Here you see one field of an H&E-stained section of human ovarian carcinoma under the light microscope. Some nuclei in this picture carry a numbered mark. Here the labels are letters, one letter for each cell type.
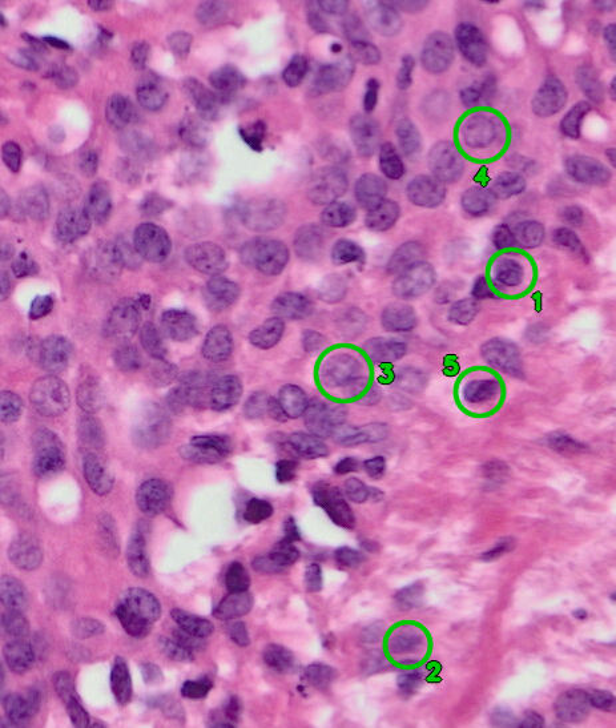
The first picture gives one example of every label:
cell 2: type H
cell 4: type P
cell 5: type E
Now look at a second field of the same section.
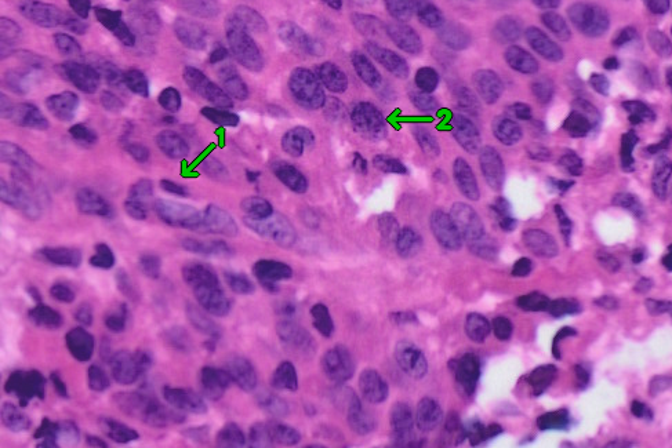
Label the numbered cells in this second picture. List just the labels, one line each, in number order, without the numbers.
type H
type P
